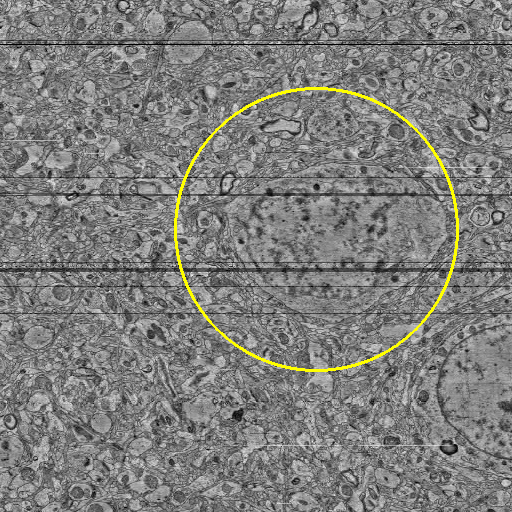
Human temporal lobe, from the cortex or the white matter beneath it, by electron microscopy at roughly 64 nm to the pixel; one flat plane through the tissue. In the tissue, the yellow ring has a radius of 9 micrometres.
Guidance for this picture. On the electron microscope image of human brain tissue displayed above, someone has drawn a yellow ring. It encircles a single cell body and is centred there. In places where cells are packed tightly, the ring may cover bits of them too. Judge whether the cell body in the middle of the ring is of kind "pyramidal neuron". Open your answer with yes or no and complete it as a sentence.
No, another kind matches the cell whose body lies at the ring's centre in the image above.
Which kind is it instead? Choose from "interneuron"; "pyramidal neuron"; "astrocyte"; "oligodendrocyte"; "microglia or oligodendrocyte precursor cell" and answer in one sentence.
The cell ringed in the picture is an interneuron.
